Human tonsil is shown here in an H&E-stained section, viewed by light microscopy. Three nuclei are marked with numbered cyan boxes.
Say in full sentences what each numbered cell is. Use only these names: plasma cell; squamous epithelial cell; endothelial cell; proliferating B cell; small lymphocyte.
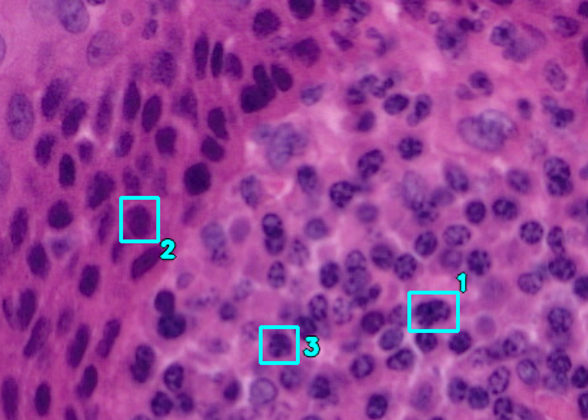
Cell 1 is a plasma cell, cell 2 is a squamous epithelial cell and cell 3 is a plasma cell.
